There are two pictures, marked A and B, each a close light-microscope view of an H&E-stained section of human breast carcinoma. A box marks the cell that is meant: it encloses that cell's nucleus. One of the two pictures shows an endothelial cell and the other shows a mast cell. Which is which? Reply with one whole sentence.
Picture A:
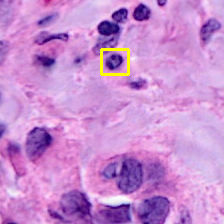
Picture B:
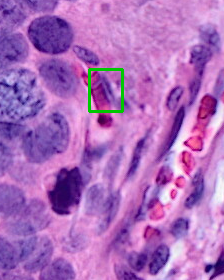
The cell in picture A is a mast cell, and the one in picture B is an endothelial cell.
